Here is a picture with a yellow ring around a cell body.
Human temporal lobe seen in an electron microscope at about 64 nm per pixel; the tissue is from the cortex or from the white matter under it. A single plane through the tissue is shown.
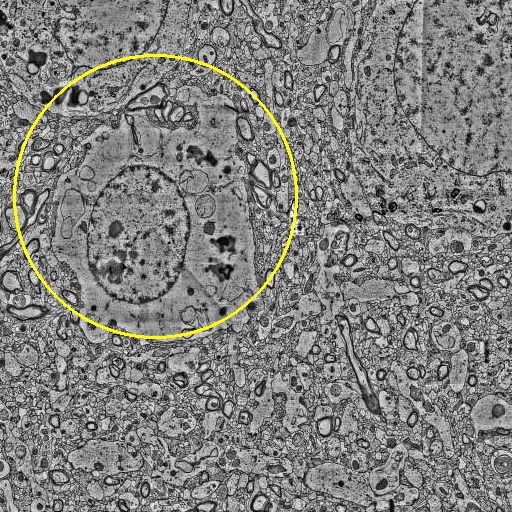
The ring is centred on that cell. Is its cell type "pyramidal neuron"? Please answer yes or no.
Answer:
no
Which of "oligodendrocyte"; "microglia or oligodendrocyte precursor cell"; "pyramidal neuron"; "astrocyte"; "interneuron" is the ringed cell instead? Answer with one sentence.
Sitting at the ring centre is an astrocyte.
